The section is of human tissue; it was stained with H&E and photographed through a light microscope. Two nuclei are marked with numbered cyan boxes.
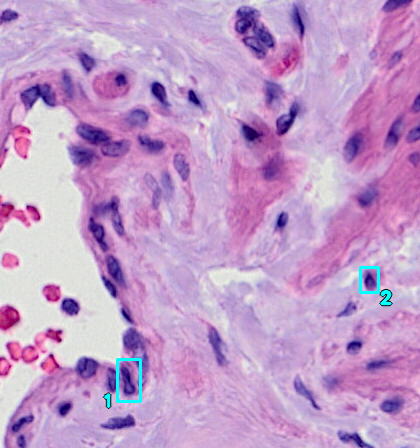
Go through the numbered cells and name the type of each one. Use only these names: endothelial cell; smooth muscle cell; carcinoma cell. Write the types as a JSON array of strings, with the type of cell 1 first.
["endothelial cell", "smooth muscle cell"]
